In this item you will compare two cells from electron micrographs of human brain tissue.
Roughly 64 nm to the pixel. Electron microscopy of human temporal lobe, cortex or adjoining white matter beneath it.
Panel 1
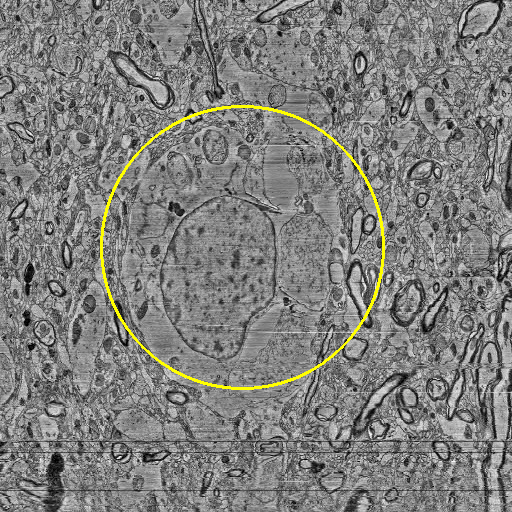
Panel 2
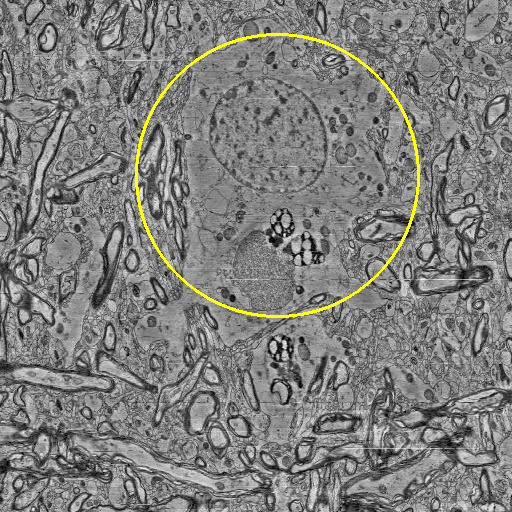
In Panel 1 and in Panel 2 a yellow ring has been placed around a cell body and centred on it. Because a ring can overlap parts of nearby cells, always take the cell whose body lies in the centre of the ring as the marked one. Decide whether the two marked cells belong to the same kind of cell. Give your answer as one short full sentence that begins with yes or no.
Yes, the two marked cells belong to the same kind of cell.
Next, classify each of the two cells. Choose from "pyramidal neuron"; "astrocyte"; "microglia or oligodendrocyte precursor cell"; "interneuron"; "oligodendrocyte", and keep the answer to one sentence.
In each picture the ringed cell is an astrocyte.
